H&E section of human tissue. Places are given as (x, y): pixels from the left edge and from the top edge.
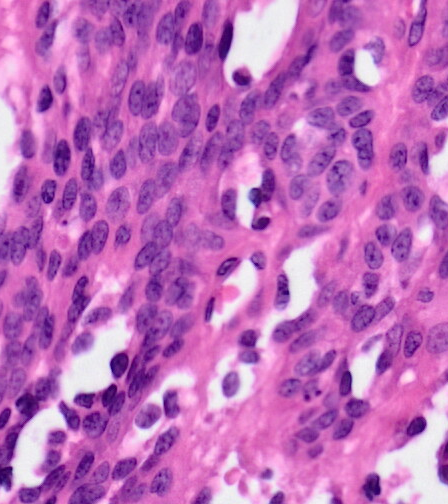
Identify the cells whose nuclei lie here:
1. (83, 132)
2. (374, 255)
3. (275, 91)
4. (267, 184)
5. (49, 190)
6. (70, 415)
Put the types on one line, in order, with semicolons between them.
carcinoma cell; macrophage or monocyte; carcinoma cell; carcinoma cell; macrophage or monocyte; carcinoma cell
